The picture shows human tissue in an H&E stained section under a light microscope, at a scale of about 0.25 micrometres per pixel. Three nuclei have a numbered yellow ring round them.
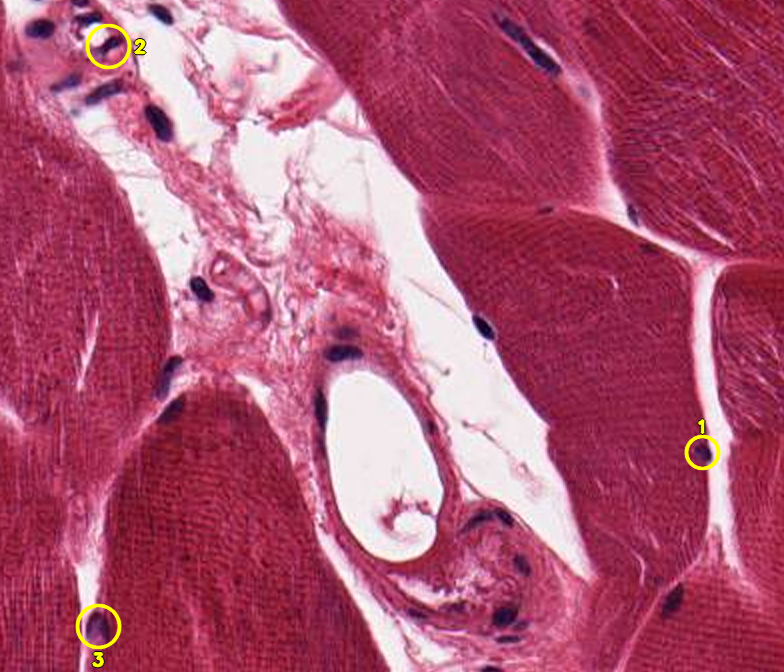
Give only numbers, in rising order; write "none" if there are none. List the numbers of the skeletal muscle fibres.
1, 3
